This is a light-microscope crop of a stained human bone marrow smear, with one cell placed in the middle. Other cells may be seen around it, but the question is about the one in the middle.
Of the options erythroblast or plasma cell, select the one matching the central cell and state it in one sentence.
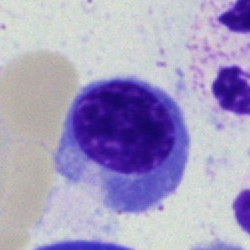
The centrally placed cell is classified as an erythroblast.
